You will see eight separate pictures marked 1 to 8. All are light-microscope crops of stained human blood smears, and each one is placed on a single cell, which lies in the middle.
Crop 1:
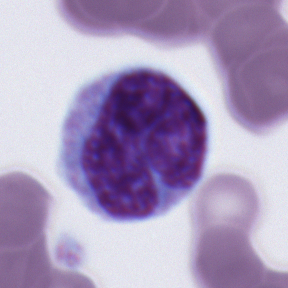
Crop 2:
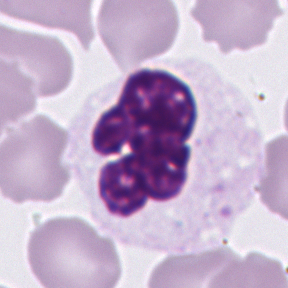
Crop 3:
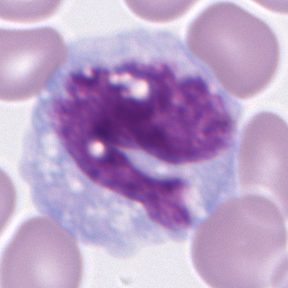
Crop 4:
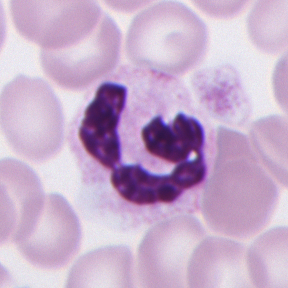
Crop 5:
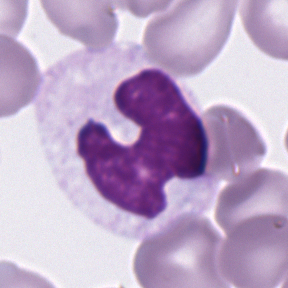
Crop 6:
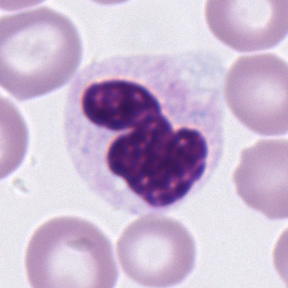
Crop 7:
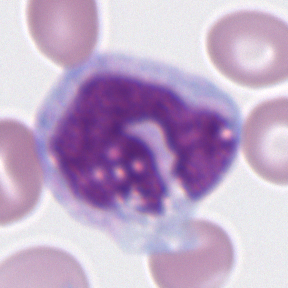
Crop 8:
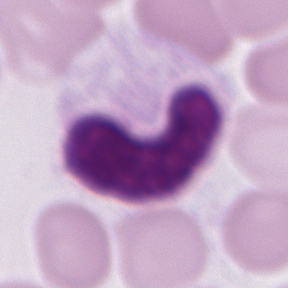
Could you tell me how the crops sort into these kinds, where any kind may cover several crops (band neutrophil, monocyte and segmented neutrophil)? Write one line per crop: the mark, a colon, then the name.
1: monocyte
2: segmented neutrophil
3: monocyte
4: segmented neutrophil
5: band neutrophil
6: segmented neutrophil
7: monocyte
8: band neutrophil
